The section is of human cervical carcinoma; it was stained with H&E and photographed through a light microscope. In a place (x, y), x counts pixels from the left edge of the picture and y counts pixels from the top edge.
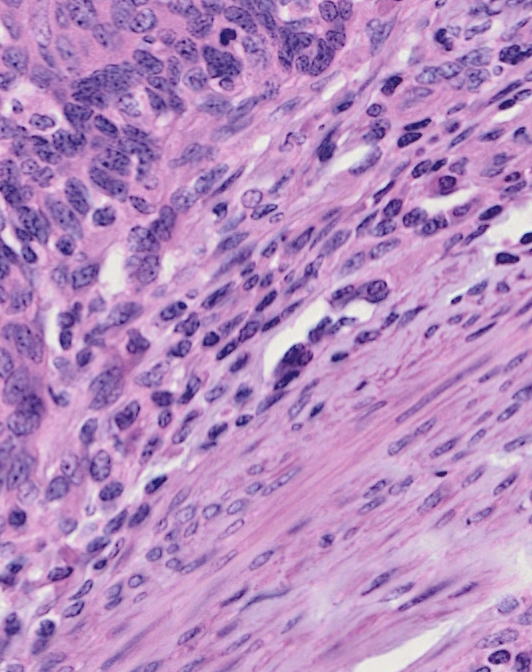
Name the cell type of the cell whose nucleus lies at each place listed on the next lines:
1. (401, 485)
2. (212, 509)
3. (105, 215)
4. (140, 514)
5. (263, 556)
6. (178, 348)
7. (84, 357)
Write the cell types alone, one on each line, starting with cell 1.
smooth muscle cell
smooth muscle cell
lymphocyte
lymphocyte
smooth muscle cell
lymphocyte
lymphocyte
